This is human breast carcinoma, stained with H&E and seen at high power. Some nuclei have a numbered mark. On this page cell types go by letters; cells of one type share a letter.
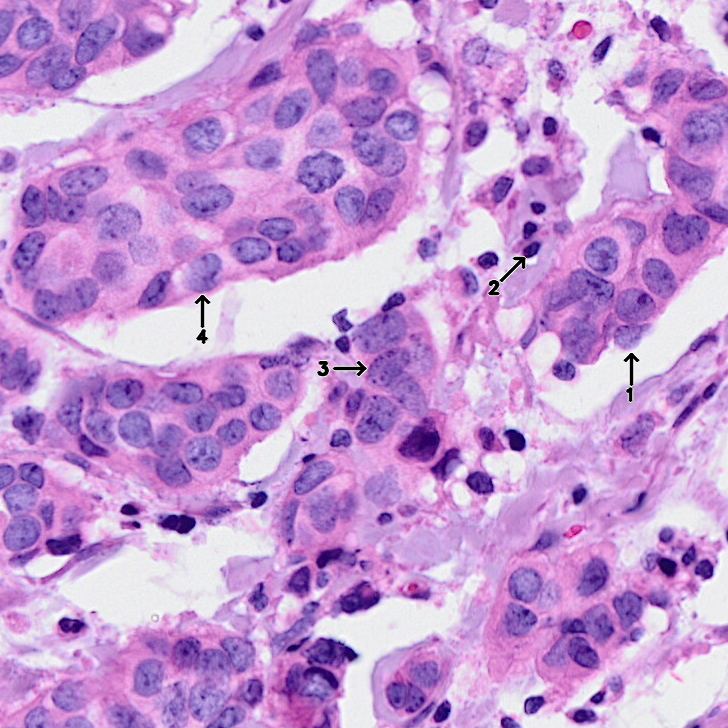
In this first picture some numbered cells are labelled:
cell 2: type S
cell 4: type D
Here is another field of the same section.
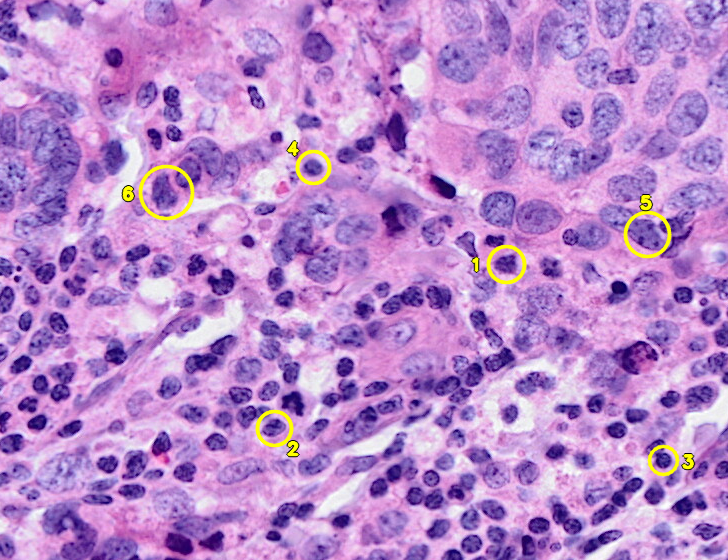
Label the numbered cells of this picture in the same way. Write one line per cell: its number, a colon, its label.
1: type S
2: type S
3: type S
4: type S
5: type D
6: type D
